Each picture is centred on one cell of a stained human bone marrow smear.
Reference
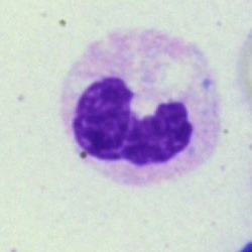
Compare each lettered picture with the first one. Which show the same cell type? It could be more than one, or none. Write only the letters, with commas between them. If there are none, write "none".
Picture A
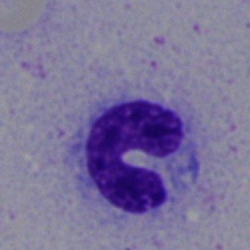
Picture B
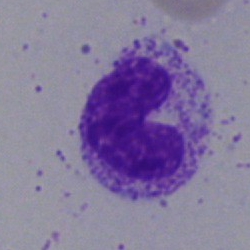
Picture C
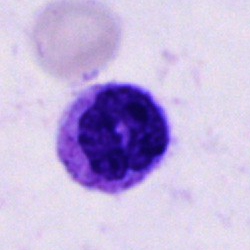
A, B, C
